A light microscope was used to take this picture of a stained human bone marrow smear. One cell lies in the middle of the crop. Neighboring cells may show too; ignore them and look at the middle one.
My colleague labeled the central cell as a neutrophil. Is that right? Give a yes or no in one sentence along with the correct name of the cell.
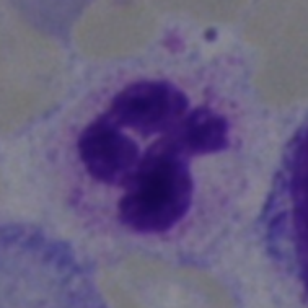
Yes, this crop has a neutrophil at its centre.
